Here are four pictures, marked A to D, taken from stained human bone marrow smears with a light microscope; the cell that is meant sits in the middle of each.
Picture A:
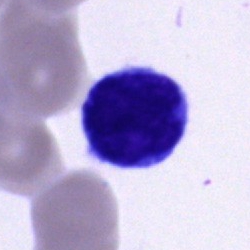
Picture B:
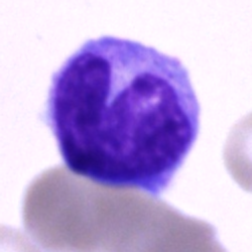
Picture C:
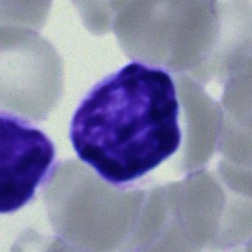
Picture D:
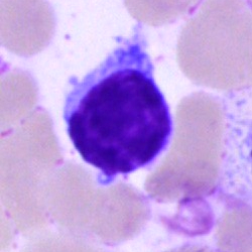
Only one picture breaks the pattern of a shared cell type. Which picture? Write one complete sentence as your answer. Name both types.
All pictures except B show lymphocytes; picture B shows a monocyte.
